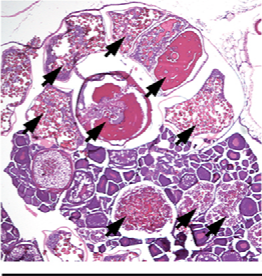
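This section of ovary contains a mixture of small, compact, purple-staining oocytes and several large follicles that are breaking down. The degenerating follicles have irregular, wrinkled or collapsed borders, and their contents are fragmented into scattered pink granules and droplets. Some hold dense, deep red masses that have shrunk away from the follicle wall, leaving clear spaces. The small oocytes crowd together in the lower part of the section, their outlines angular where they touch.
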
